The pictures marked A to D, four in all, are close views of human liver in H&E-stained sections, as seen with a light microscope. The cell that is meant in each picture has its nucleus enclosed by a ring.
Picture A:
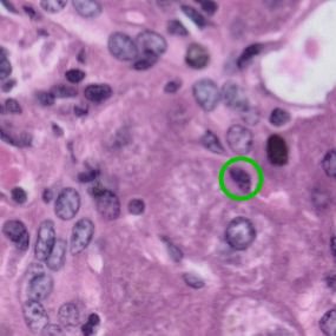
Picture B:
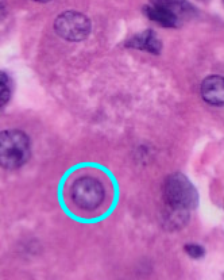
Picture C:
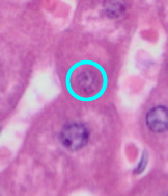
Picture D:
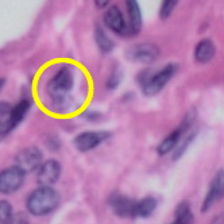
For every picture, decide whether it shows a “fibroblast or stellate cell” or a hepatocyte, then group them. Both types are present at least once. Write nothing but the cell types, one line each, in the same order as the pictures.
fibroblast or stellate cell
hepatocyte
hepatocyte
fibroblast or stellate cell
